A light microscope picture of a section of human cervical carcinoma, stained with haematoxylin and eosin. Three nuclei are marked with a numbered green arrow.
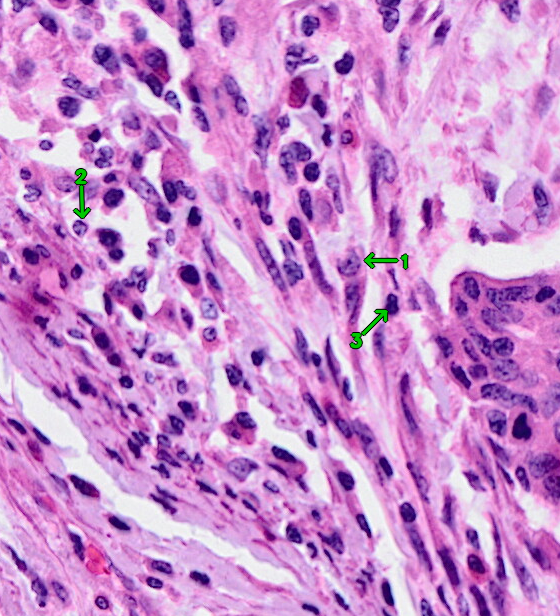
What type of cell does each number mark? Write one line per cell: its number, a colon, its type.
1: macrophage or monocyte
2: lymphocyte
3: lymphocyte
